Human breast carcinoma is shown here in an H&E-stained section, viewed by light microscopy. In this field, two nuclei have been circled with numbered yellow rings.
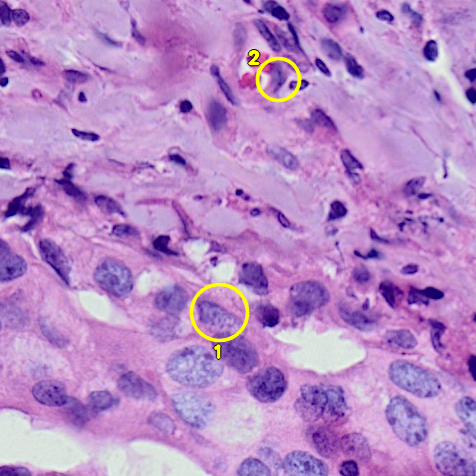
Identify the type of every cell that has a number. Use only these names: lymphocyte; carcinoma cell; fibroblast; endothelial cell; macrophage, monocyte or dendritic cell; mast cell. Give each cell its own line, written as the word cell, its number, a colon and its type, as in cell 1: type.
cell 1: carcinoma cell
cell 2: endothelial cell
